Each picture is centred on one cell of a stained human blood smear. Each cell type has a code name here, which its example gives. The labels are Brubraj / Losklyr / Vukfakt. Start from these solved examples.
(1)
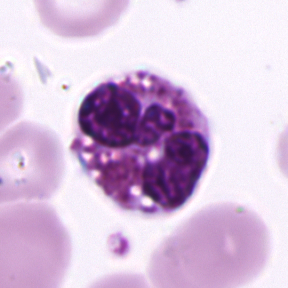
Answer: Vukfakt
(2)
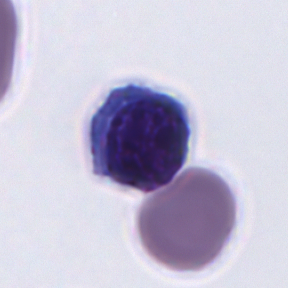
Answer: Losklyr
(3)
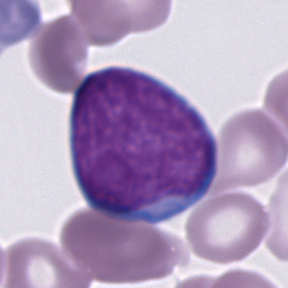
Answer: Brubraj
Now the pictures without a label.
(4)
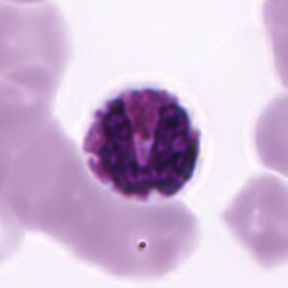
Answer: Vukfakt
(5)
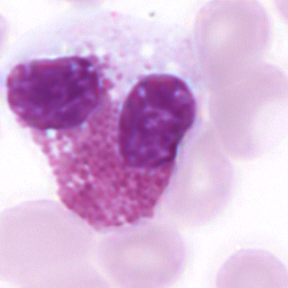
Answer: Vukfakt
